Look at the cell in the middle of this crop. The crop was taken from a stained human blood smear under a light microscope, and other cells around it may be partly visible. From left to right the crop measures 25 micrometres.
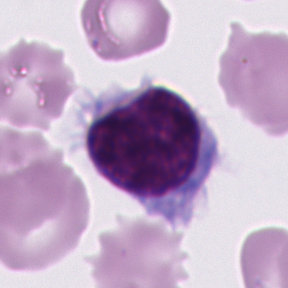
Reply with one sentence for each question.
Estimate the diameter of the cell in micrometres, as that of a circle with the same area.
About 11 micrometres: that is the cell's diameter.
